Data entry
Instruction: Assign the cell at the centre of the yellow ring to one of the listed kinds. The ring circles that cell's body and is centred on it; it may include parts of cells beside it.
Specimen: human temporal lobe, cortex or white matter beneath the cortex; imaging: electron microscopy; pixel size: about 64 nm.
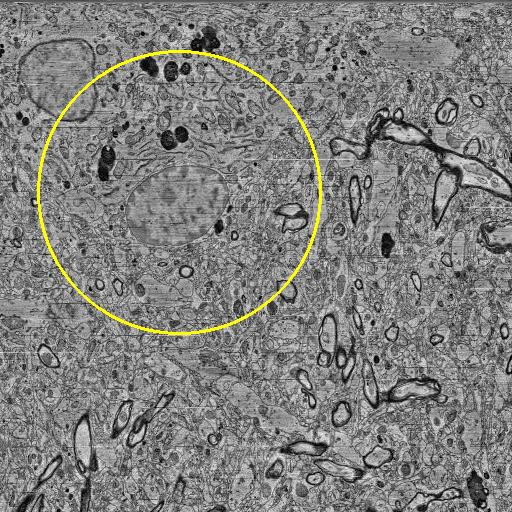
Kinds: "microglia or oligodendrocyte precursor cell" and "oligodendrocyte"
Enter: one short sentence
The centre of the ring falls on a microglial cell or oligodendrocyte precursor cell.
